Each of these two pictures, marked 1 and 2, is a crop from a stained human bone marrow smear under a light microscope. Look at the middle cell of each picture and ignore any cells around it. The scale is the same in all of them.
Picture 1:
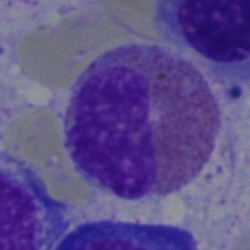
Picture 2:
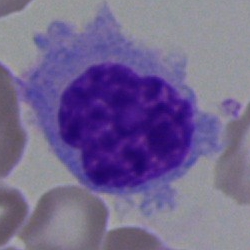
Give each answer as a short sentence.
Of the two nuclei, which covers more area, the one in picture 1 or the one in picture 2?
The nucleus in picture 2 is larger, with about 1.5 times the area of the one in picture 1.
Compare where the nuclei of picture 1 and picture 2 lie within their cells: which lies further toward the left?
It is the nucleus in picture 1 that lies further toward the left of its cell.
